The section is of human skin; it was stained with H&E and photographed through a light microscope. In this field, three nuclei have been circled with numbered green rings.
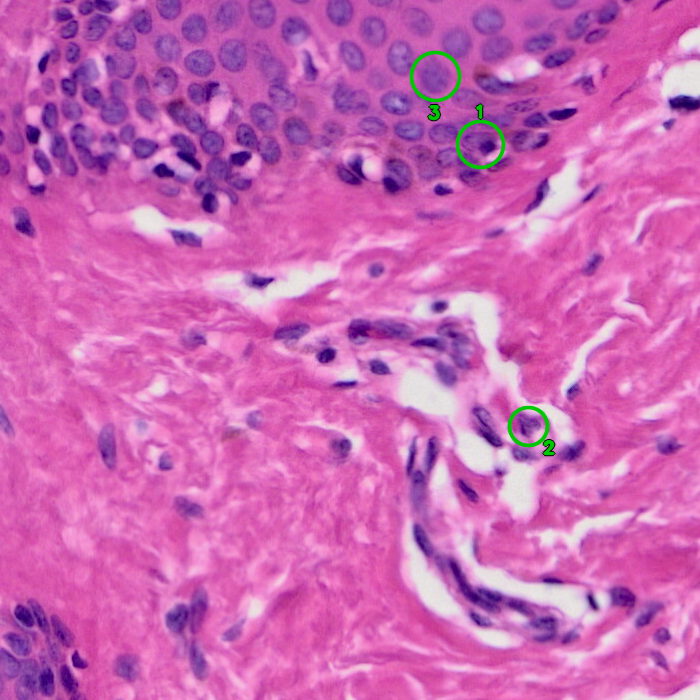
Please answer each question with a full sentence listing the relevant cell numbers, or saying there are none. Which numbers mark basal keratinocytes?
Only cell 1 should be marked as a basal keratinocyte.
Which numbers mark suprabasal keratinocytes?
Mind that only cell 3 is a suprabasal keratinocyte, none of the rest.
